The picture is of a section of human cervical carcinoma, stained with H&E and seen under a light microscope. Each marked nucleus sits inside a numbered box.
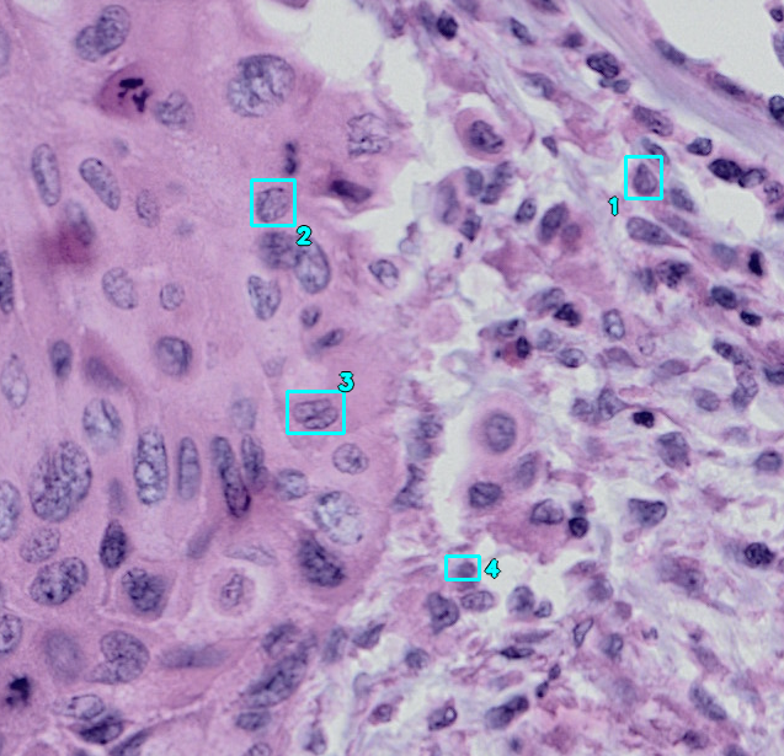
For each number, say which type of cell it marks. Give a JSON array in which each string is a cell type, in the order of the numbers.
["macrophage or monocyte", "squamous carcinoma cell", "squamous carcinoma cell", "fibroblast"]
